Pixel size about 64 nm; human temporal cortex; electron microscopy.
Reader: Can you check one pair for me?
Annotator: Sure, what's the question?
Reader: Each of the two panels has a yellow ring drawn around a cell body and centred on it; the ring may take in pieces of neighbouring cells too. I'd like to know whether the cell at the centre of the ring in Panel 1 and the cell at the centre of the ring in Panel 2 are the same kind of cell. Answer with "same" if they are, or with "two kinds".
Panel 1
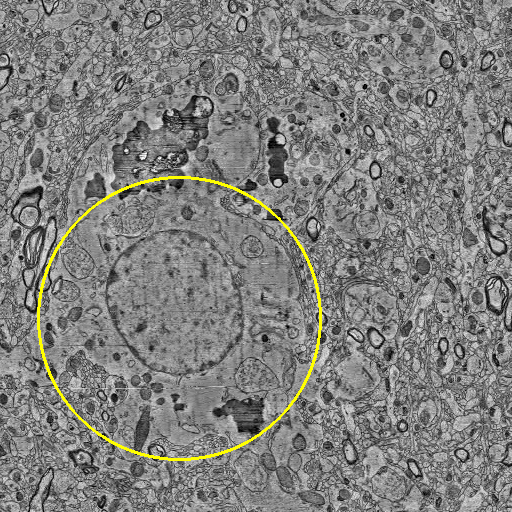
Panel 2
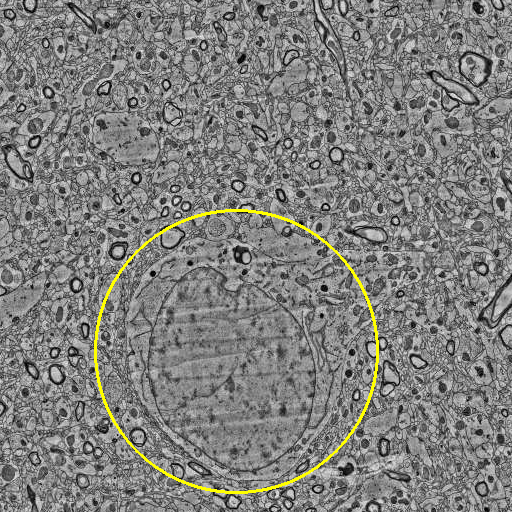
two kinds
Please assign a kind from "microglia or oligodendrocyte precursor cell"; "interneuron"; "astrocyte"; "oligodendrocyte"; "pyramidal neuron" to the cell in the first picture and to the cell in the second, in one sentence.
In the first picture we have an astrocyte, and in the second, a pyramidal neuron.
